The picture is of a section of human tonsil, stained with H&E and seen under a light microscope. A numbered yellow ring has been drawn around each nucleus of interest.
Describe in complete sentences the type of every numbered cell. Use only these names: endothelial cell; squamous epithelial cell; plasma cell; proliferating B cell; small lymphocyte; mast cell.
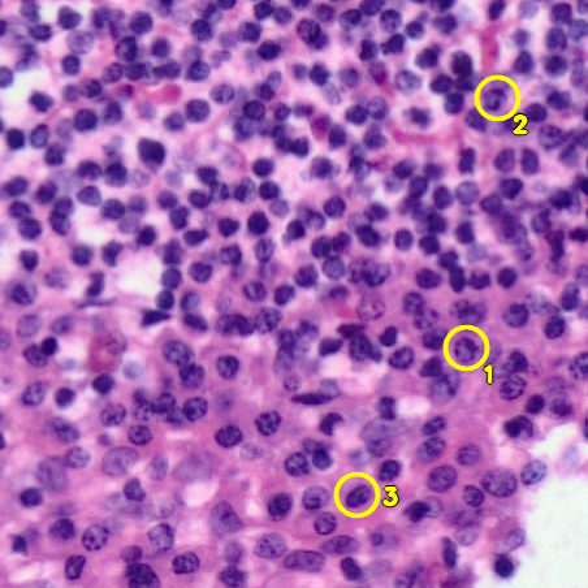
Cell 1 is a plasma cell, cell 2 is a small lymphocyte and cell 3 is a plasma cell.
